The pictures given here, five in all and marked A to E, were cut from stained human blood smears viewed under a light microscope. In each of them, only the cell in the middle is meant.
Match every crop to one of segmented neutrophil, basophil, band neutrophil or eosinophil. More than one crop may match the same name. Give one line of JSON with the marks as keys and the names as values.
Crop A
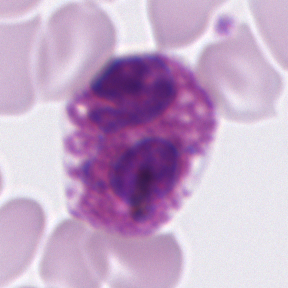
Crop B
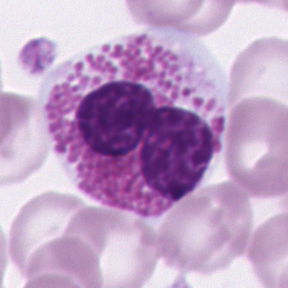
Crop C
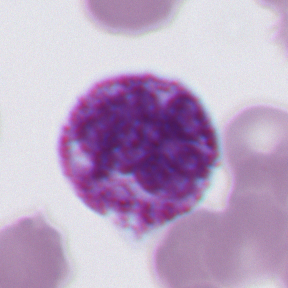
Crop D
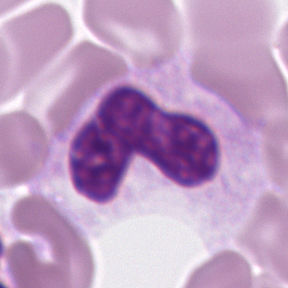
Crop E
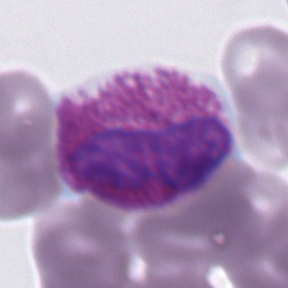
{"A": "eosinophil", "B": "eosinophil", "C": "eosinophil", "D": "band neutrophil", "E": "eosinophil"}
